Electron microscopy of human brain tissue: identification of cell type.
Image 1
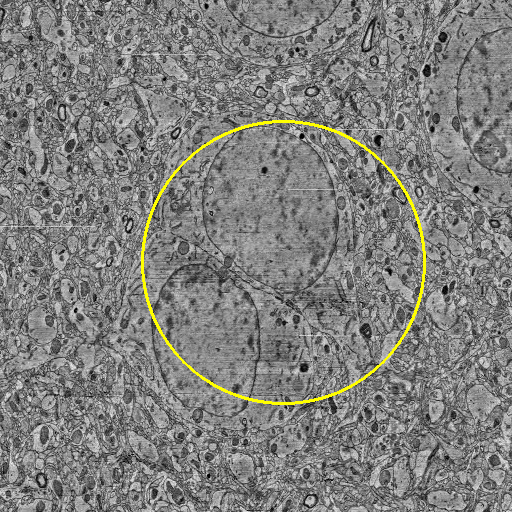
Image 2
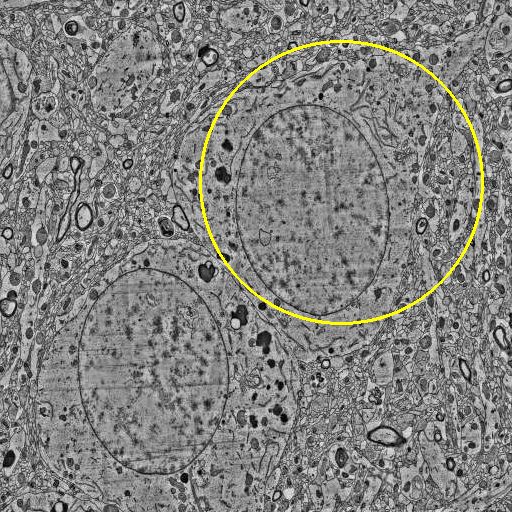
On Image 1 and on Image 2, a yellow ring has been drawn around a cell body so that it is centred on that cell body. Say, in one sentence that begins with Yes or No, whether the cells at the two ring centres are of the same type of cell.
Yes, both cells are the same type of cell.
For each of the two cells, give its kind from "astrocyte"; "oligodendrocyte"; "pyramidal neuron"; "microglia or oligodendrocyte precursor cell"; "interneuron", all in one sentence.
In both pictures the ring is centred on a pyramidal neuron.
